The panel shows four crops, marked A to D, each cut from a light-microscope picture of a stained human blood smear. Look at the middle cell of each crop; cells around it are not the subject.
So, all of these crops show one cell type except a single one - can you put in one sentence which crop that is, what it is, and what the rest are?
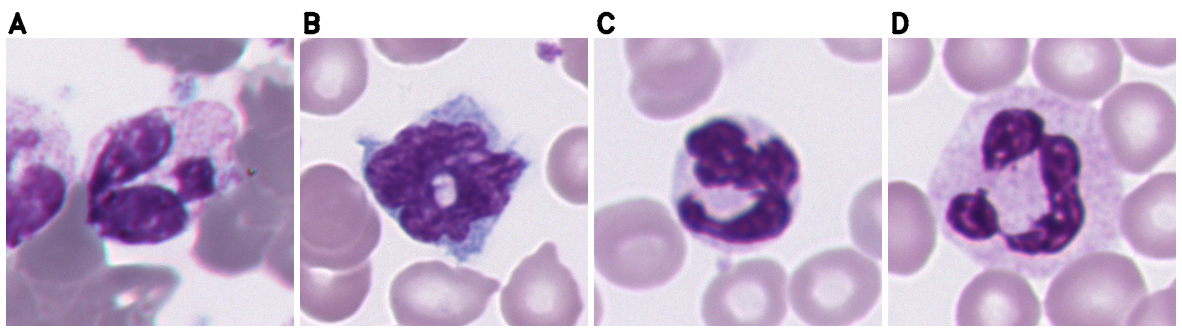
As the exception to the segmented neutrophils in the other crops, crop B shows a monocyte.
